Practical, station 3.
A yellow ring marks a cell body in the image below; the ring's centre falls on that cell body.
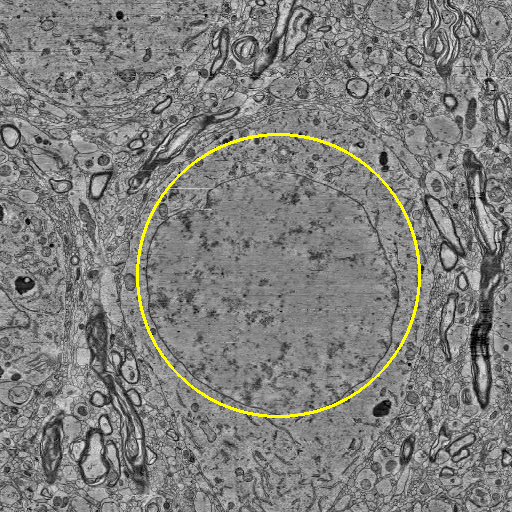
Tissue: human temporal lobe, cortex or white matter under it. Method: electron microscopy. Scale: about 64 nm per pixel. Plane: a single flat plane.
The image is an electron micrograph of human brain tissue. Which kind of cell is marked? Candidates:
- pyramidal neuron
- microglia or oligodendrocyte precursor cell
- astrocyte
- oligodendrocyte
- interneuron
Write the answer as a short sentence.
The marked cell body is that of a pyramidal neuron.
